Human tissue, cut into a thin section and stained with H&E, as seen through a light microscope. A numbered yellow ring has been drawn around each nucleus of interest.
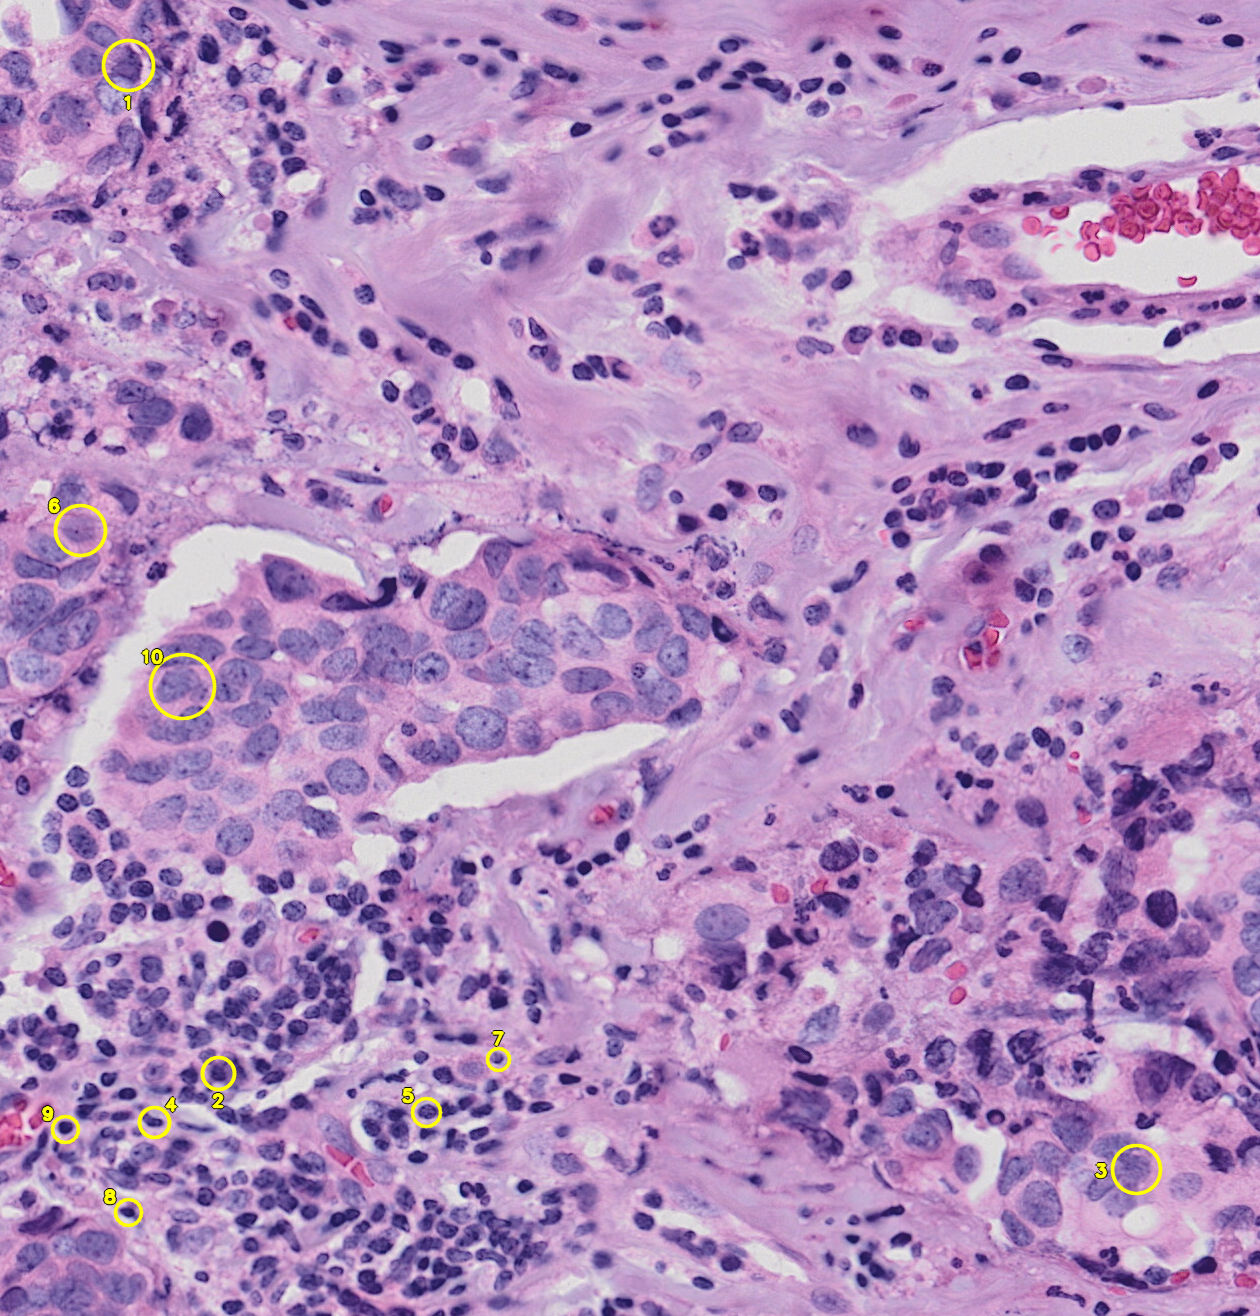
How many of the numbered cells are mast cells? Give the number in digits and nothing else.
0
